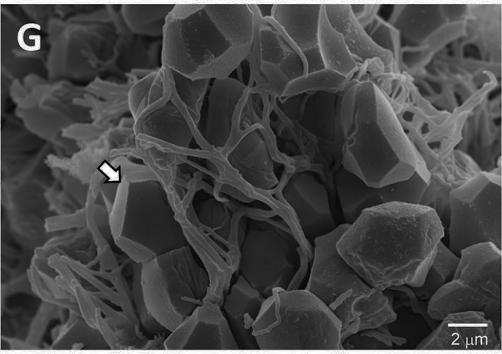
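Red blood cells within a compressed region of a thrombus, seen at high magnification by scanning electron microscopy. The cells have lost the smooth disc form and appear as polyhedral bodies with flat faces meeting at sharp edges. Thin fibres and fibre bundles run over the surface and between the cells, forming a loose network across the cell mass. Toward the left edge the fibres are more abundant and the cells less clearly outlined.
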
